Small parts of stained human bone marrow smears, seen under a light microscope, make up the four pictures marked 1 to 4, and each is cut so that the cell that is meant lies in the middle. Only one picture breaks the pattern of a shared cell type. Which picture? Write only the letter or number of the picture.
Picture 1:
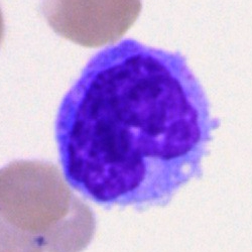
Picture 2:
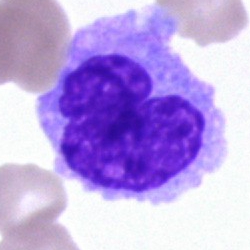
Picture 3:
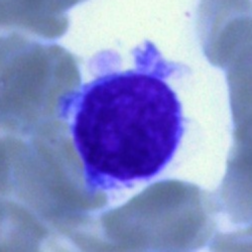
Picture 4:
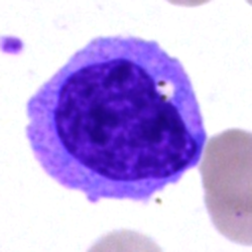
3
